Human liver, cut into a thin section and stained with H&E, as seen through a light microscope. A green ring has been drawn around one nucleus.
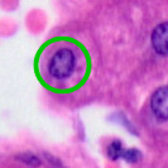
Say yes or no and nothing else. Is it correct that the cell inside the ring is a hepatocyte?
yes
